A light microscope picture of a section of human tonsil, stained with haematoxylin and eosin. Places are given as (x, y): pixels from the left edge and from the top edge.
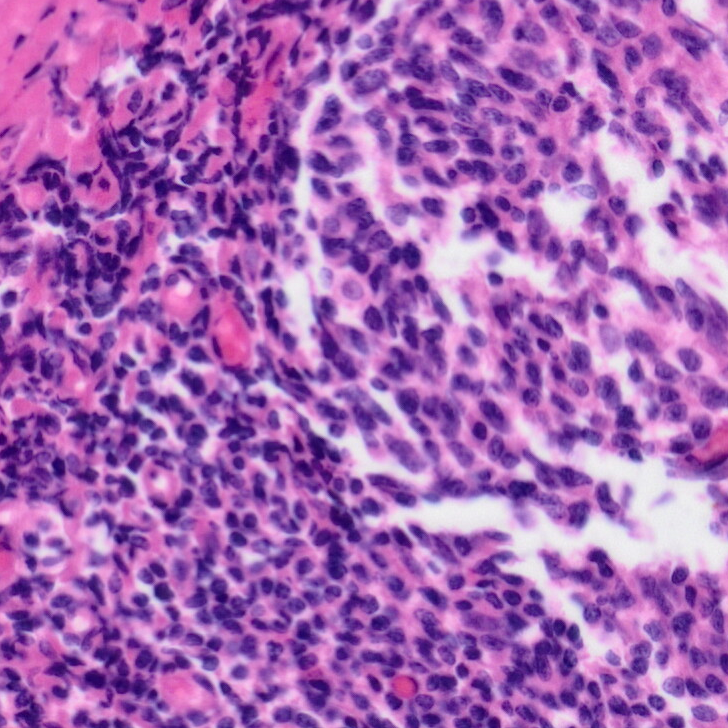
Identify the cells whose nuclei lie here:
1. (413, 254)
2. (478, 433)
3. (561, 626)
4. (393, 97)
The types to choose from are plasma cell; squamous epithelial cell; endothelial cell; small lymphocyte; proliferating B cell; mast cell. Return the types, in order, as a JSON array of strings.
["proliferating B cell", "proliferating B cell", "small lymphocyte", "proliferating B cell"]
